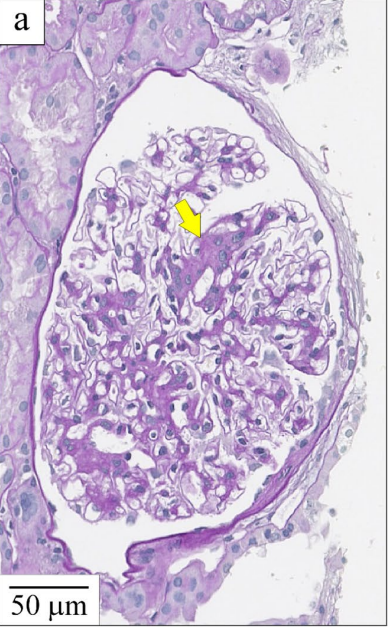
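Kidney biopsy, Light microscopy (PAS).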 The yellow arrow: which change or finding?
Segmental mesangial hypercellularity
